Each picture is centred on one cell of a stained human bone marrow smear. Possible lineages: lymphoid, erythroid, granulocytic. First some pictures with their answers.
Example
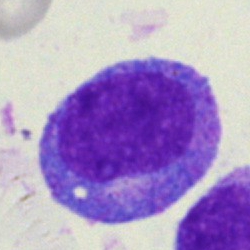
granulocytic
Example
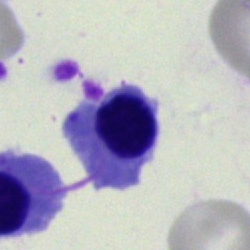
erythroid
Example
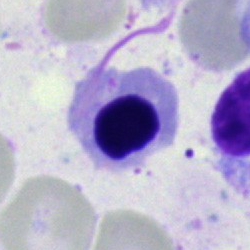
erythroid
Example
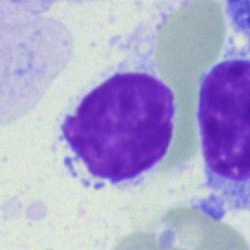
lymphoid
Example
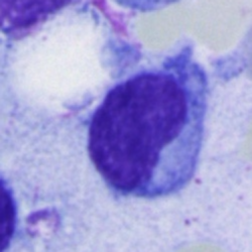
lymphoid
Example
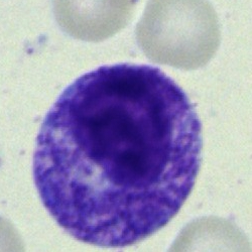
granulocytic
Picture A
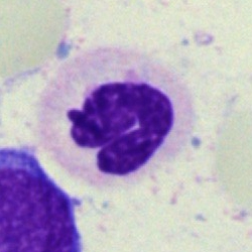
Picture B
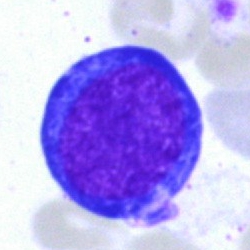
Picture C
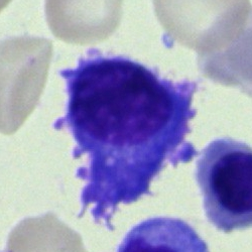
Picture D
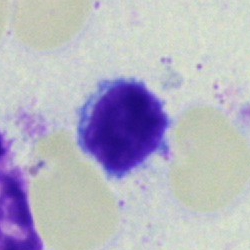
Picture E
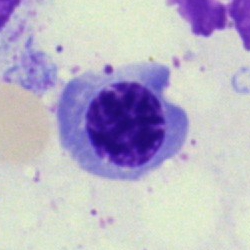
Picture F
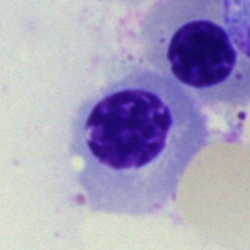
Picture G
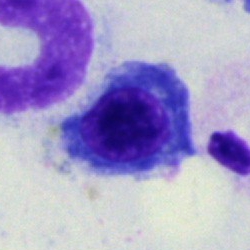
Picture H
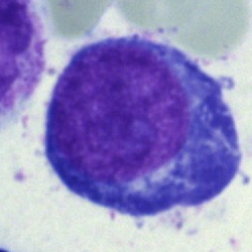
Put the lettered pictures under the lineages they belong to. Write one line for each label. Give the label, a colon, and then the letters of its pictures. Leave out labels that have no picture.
lymphoid: C, D
erythroid: B, E, F, G, H
granulocytic: A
